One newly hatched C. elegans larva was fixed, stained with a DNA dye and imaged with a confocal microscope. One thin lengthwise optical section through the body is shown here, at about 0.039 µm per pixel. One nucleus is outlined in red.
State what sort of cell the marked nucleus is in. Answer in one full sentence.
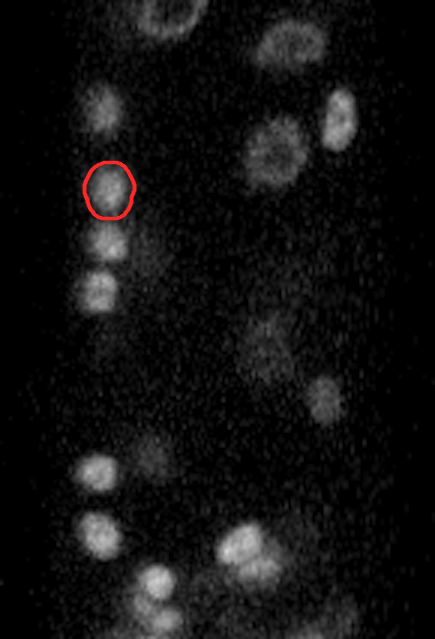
It belongs to a neuron.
